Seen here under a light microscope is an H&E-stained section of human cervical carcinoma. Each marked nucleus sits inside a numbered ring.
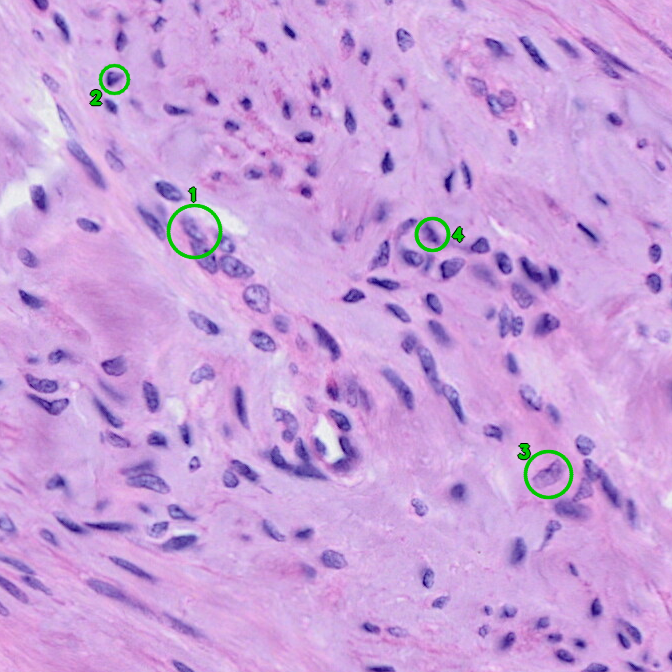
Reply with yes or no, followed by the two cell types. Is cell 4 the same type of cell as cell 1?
No, cell 1 is an endothelial cell, but cell 4 is a fibroblast.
